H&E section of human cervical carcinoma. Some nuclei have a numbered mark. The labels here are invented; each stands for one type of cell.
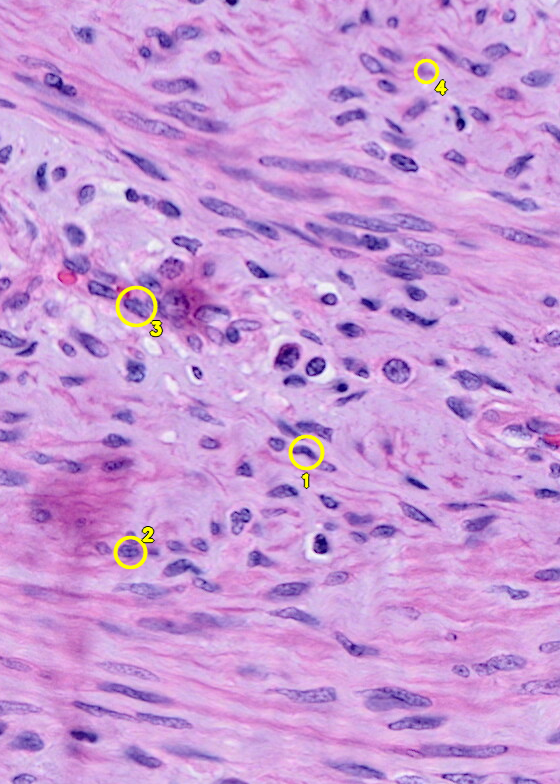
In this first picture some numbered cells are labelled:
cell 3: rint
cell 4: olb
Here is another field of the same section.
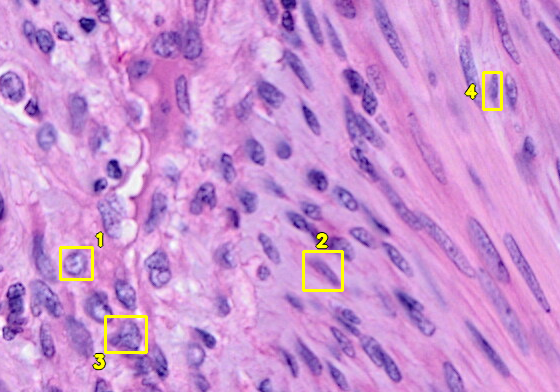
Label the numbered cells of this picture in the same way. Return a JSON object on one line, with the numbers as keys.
{"1": "olb", "2": "olb", "3": "rint", "4": "olb"}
